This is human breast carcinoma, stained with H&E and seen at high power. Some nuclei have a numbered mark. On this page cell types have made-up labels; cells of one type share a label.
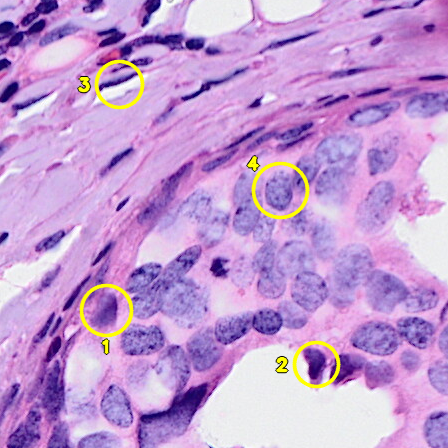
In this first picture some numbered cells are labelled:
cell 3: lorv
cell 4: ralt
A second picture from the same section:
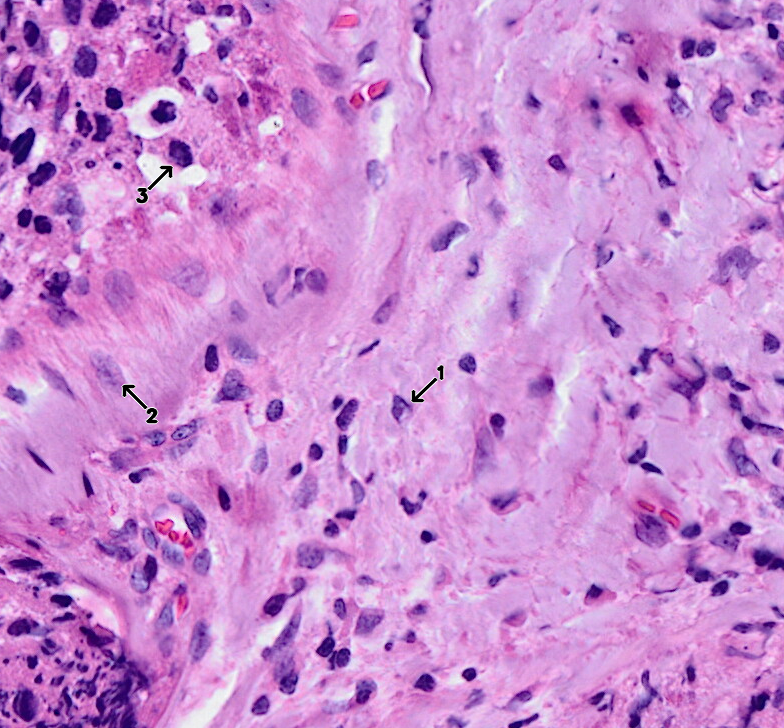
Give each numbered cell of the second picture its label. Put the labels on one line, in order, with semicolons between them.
lorv; lorv; ralt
